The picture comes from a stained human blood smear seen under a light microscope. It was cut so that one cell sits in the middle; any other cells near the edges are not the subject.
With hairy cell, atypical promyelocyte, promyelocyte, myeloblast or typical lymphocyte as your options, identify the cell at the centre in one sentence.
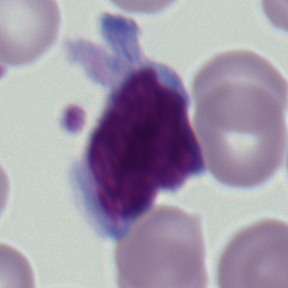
Where the crop is centred, there is a typical lymphocyte.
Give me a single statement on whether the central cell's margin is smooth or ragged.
Rather than running smoothly, the cell border is ragged or carries projections.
